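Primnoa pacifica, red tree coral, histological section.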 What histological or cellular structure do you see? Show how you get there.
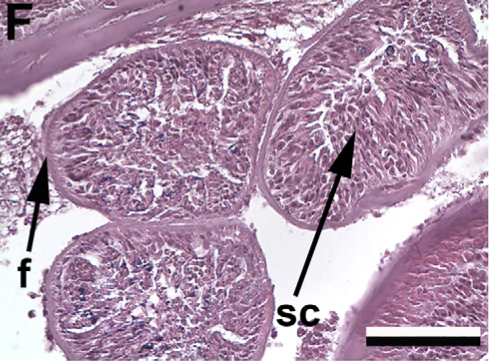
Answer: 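Each is densely packed with small dark-purple nuclei. Each is bounded by a thin flat cell layer.
Hence: spermatocysts.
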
